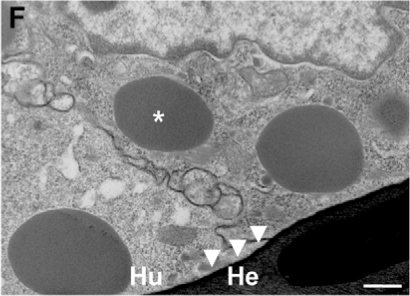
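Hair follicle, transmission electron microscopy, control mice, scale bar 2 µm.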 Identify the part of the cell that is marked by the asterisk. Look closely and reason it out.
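Trichohyalin droplets. Large round homogeneous grey inclusions in the cytoplasm. No membrane around the inclusions.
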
